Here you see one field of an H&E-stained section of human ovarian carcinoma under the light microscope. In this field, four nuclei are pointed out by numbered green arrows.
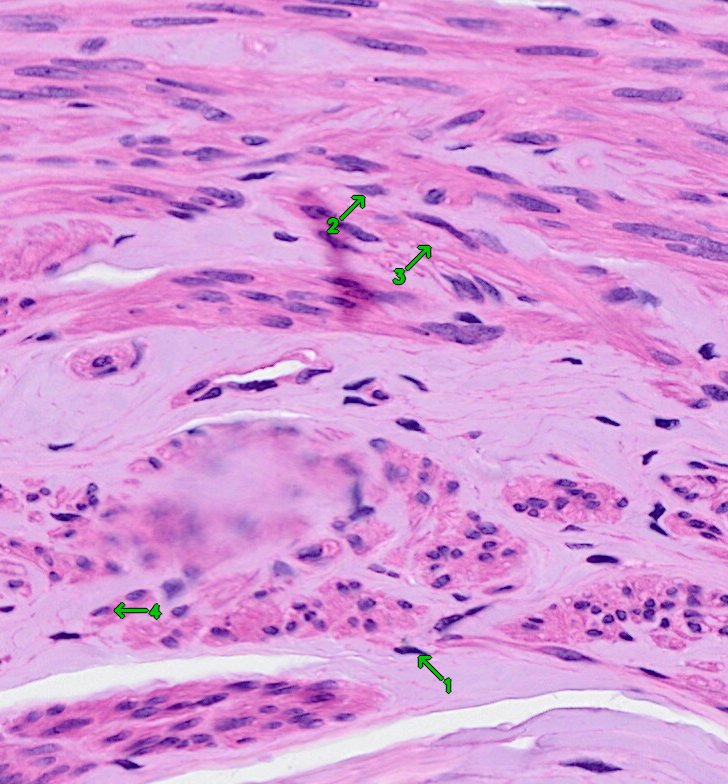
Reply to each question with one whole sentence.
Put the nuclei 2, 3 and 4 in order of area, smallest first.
Smallest first, the nuclei run 4, 2, 3.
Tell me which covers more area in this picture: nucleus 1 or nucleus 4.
At about 2.5 times the area of nucleus 4, nucleus 1 is the larger of the two.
